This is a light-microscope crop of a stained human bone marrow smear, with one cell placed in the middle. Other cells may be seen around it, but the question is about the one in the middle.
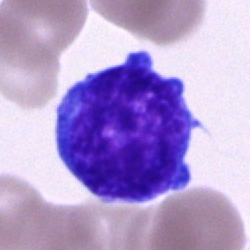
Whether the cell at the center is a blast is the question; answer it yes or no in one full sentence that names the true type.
Yes, the cell occupying the middle of the crop is a blast.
